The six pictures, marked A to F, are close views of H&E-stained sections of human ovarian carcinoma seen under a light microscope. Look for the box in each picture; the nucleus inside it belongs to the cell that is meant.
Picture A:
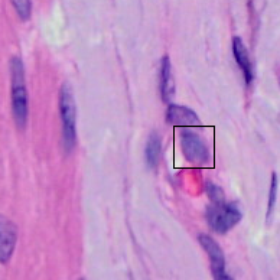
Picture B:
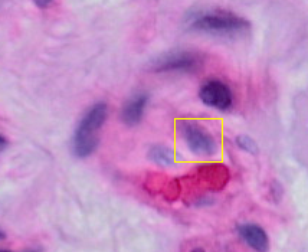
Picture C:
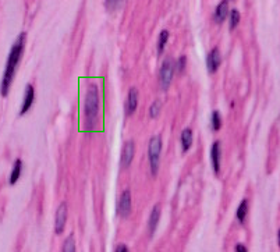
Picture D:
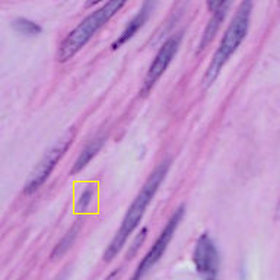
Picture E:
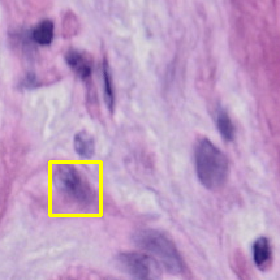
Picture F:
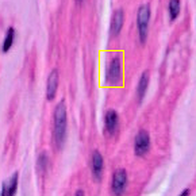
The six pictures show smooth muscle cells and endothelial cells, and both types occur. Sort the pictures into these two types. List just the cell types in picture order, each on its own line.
endothelial cell
endothelial cell
smooth muscle cell
smooth muscle cell
endothelial cell
smooth muscle cell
